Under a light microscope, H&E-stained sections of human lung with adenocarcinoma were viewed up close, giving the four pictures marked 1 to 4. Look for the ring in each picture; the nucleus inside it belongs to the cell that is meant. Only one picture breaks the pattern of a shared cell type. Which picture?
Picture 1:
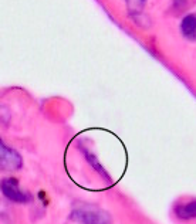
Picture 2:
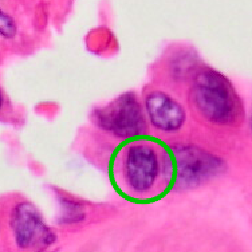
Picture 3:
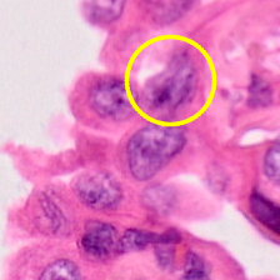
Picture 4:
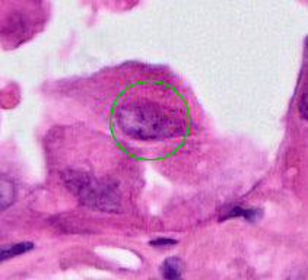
1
